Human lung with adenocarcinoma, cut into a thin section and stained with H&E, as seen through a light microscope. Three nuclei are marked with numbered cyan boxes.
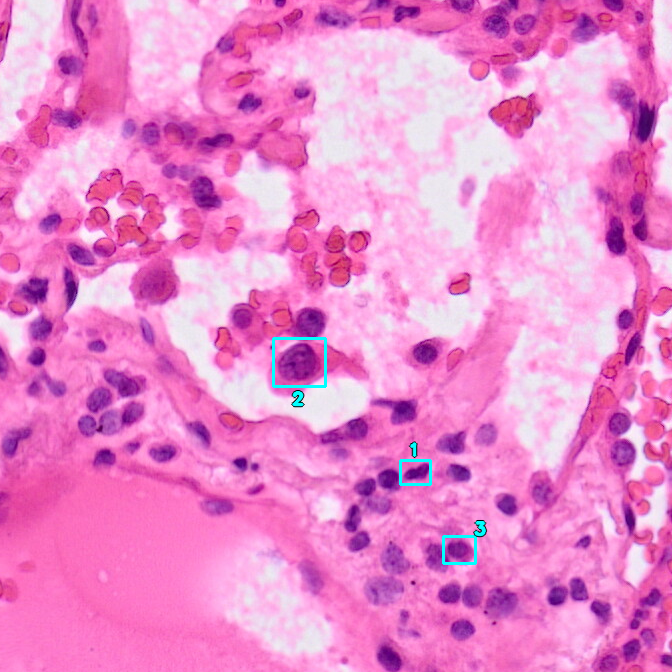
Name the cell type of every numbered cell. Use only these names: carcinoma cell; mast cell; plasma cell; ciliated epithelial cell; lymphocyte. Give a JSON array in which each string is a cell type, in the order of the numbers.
["lymphocyte", "carcinoma cell", "plasma cell"]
